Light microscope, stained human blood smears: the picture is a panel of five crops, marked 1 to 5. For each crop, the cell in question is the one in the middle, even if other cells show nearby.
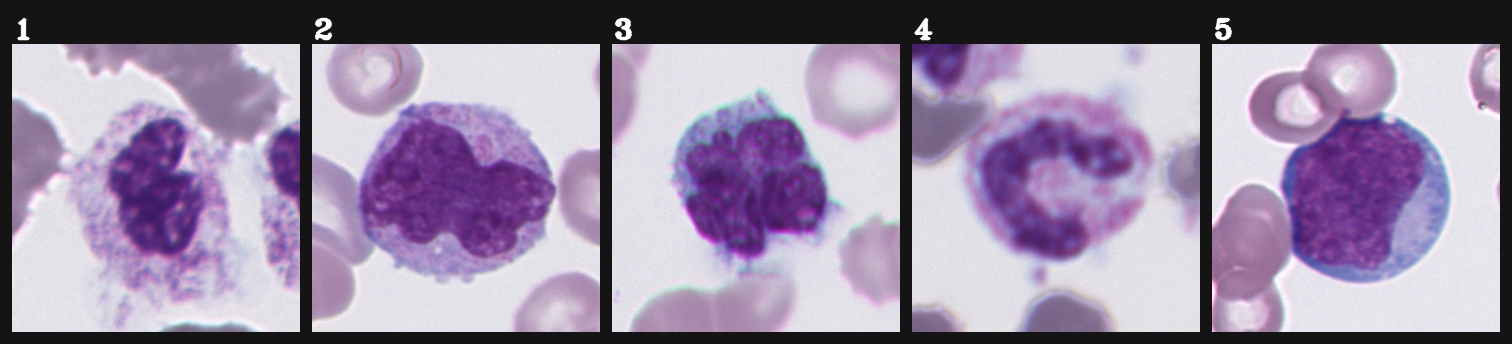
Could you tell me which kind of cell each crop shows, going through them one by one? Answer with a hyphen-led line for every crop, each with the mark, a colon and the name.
- 1: neutrophil
- 2: atypical promyelocyte
- 3: monocyte
- 4: neutrophil
- 5: myeloblast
